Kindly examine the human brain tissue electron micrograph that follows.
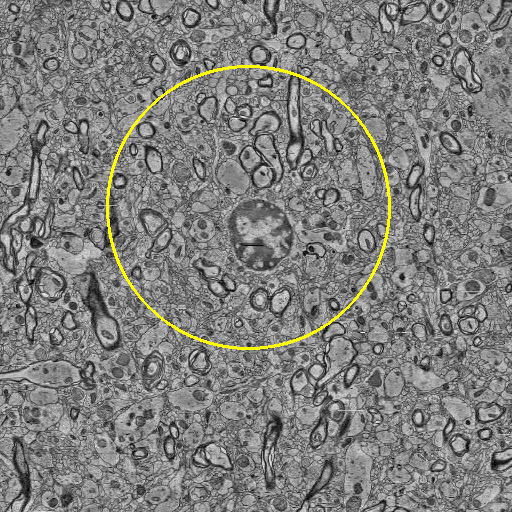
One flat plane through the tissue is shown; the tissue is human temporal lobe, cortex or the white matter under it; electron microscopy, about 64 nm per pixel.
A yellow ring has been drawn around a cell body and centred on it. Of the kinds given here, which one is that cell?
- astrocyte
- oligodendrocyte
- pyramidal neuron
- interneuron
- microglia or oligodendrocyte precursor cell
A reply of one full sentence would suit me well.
The micrograph's ringed cell, the one at the ring's centre, is a microglial cell or oligodendrocyte precursor cell.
